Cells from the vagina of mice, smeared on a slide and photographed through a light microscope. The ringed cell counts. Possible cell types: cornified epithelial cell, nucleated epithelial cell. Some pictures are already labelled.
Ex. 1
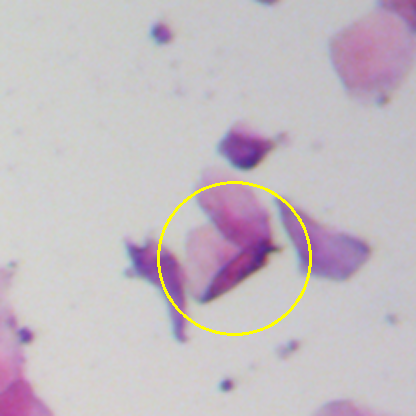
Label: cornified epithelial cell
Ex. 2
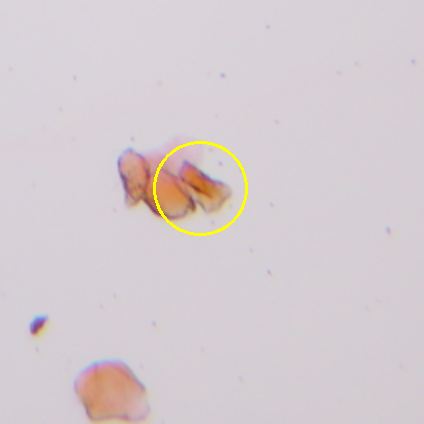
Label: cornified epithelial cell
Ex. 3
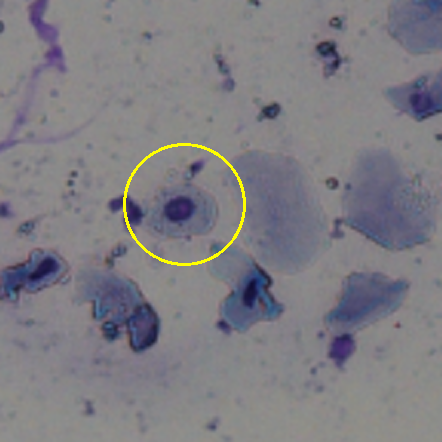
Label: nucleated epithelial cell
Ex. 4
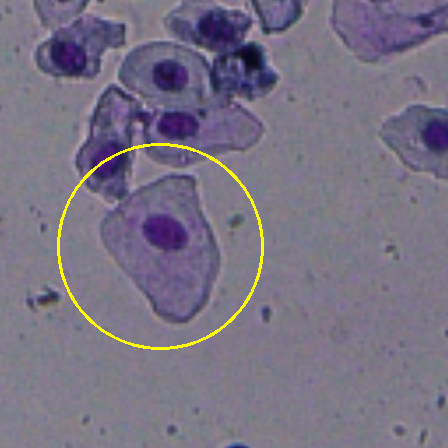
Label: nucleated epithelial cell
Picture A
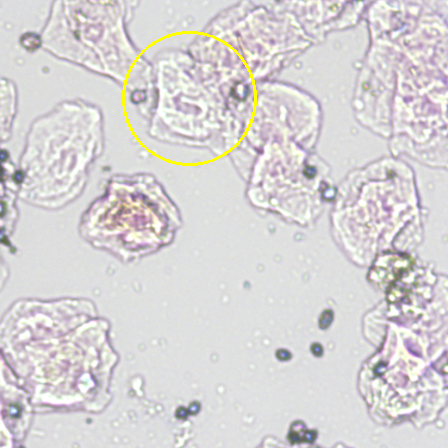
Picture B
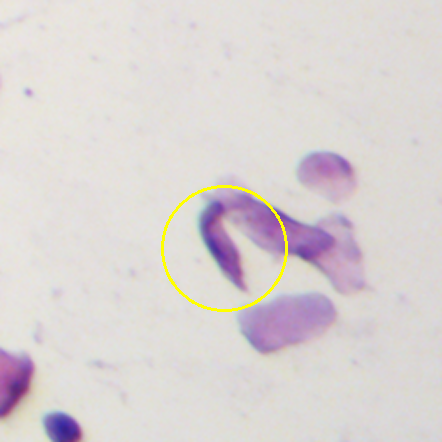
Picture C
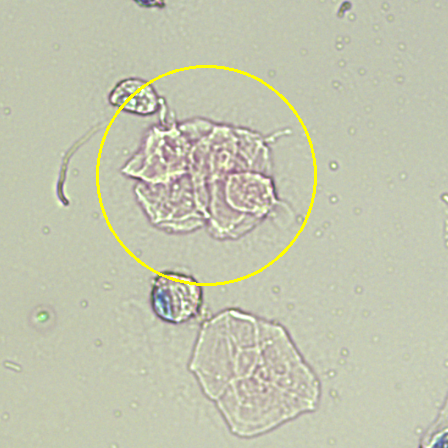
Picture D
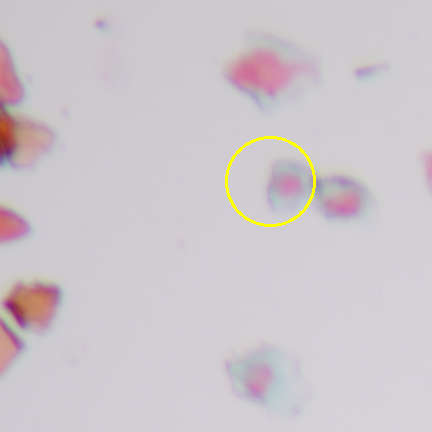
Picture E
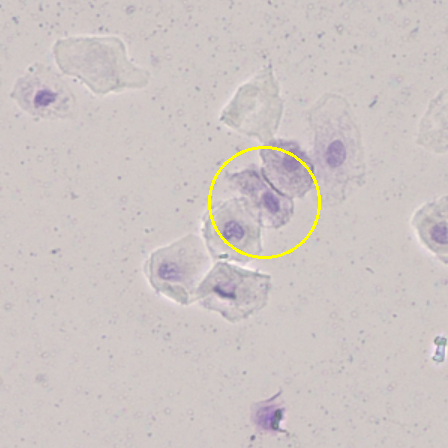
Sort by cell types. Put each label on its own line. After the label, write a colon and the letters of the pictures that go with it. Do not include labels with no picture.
cornified epithelial cell: A, B, C
nucleated epithelial cell: D, E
